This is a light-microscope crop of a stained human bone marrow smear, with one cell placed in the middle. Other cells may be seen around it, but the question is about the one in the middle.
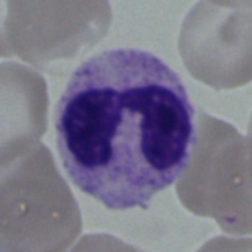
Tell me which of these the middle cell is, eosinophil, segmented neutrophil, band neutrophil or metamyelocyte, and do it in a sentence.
The cell the crop is centered on is a segmented neutrophil.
